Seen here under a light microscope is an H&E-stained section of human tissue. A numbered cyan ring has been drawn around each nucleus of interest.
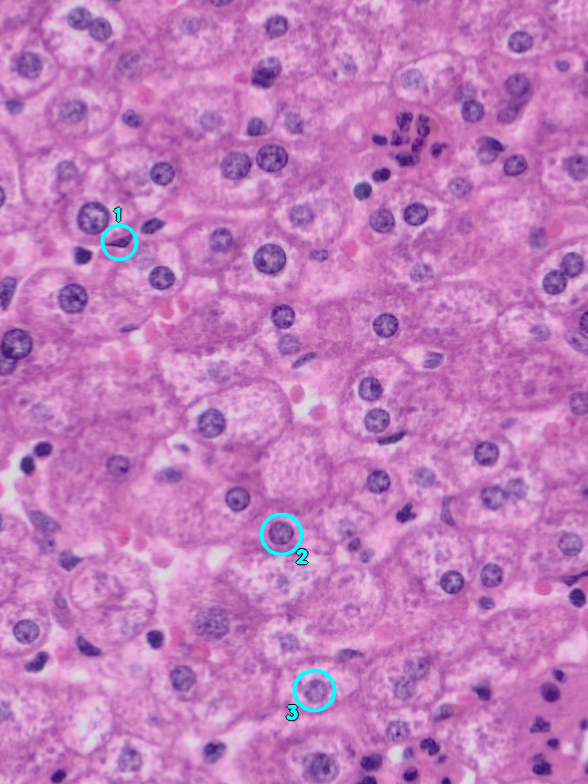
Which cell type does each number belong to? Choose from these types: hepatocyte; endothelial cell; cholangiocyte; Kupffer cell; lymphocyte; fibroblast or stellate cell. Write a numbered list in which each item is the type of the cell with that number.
1. endothelial cell
2. hepatocyte
3. hepatocyte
